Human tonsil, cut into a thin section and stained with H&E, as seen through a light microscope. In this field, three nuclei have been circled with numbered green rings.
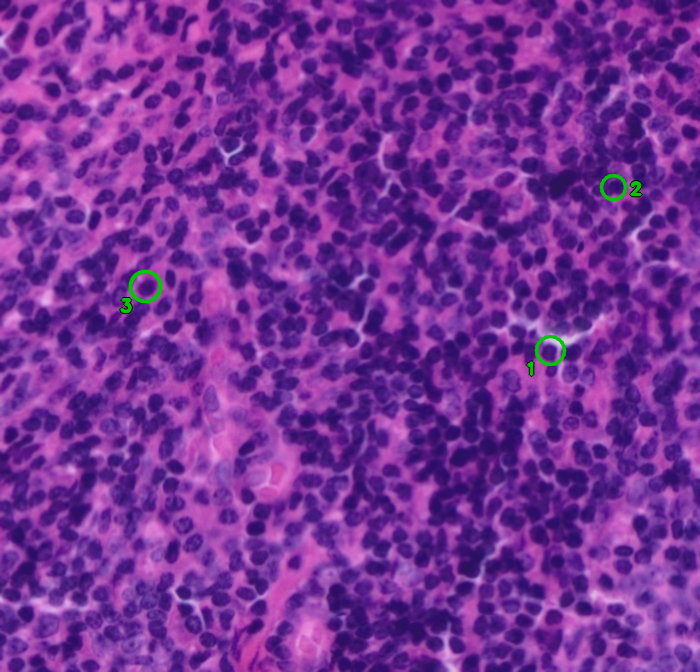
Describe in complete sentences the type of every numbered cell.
Cell 1 is a small lymphocyte, cell 2 is a small lymphocyte and cell 3 is a plasma cell.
